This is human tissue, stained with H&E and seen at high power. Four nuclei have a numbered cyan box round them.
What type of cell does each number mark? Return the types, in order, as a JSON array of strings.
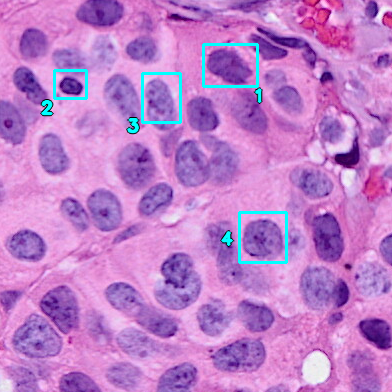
["carcinoma cell", "lymphocyte", "carcinoma cell", "carcinoma cell"]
